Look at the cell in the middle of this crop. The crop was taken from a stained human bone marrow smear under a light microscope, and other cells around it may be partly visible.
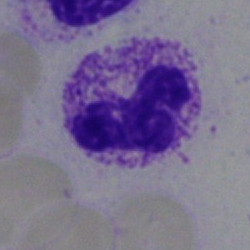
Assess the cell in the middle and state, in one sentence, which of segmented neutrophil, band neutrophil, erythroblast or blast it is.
The cell found in the middle of this crop is a segmented neutrophil.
